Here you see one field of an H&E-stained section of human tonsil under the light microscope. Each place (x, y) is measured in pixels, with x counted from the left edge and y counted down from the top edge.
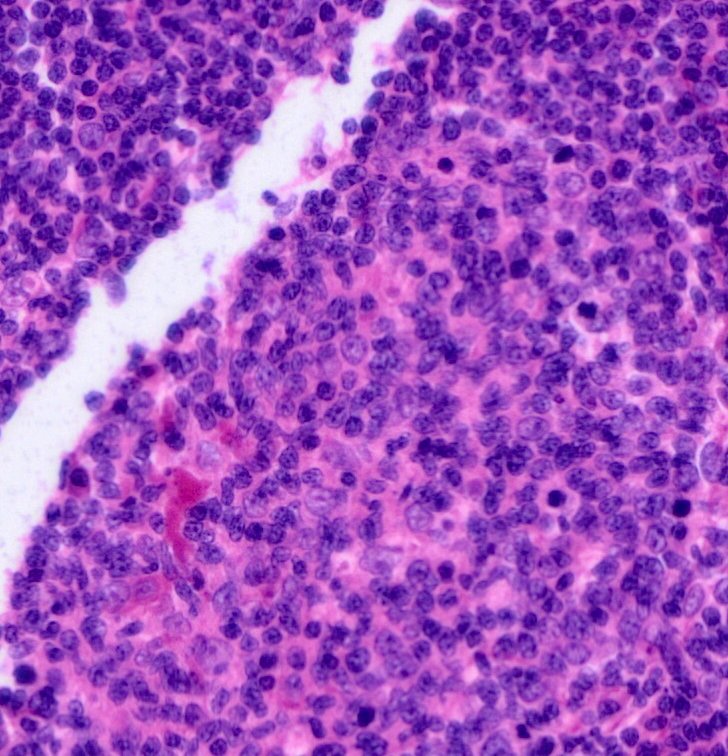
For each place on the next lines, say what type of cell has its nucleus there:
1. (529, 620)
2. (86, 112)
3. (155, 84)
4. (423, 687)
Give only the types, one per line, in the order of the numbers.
proliferating B cell
small lymphocyte
small lymphocyte
proliferating B cell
